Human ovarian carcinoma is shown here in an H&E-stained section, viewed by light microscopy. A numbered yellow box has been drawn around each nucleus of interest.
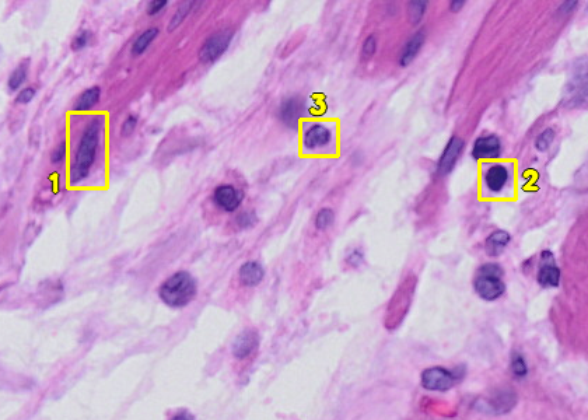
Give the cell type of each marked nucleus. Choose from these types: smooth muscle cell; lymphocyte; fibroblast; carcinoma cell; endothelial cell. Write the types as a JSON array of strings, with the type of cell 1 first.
["smooth muscle cell", "lymphocyte", "lymphocyte"]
